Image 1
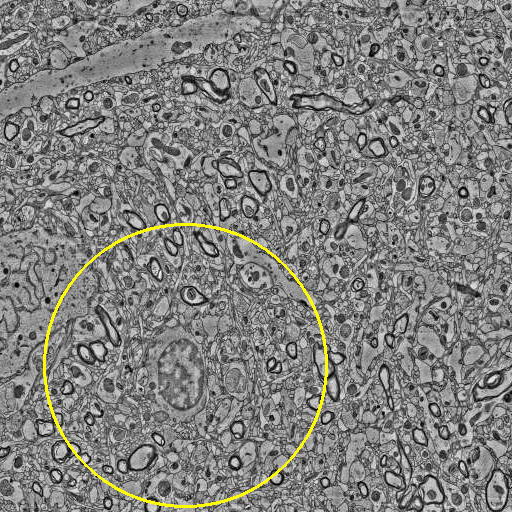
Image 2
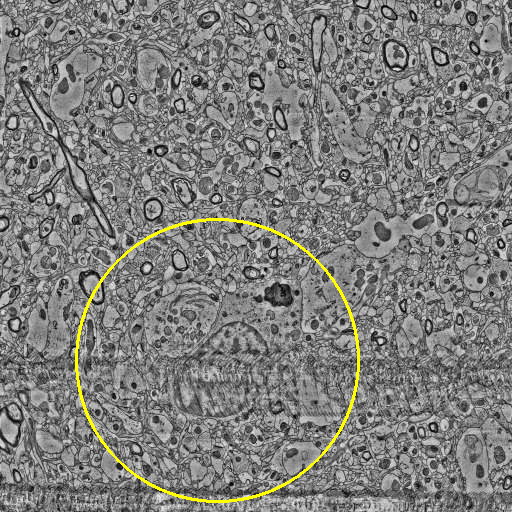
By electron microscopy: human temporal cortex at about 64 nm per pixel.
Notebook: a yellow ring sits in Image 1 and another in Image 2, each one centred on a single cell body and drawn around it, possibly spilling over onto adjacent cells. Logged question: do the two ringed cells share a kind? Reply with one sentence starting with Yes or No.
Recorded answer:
Yes, both centre cells inside the rings of Image 1 and Image 2 share one kind.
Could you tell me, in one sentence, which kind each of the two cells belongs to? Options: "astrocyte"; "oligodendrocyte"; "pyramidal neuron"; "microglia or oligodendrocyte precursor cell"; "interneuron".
The second cell is an oligodendrocyte, just as the first is.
